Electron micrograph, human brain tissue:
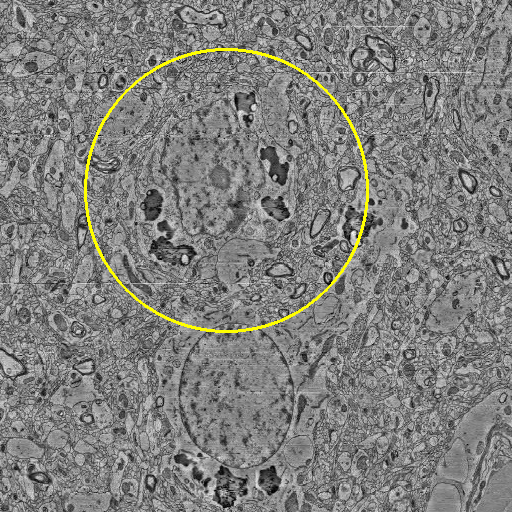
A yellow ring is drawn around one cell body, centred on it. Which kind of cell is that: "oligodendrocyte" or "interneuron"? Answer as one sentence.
It is an interneuron at the centre of the ring.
